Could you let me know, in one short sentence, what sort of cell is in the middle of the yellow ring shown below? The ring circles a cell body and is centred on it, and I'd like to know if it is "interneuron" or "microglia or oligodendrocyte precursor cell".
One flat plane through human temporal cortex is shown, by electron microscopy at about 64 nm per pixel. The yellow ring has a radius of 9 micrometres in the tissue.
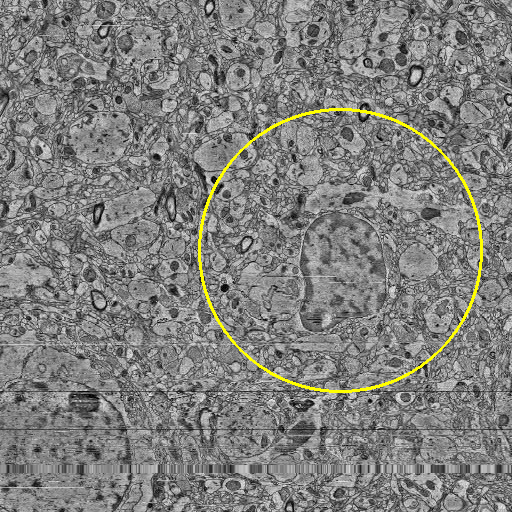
The ring circles the cell body of a microglial cell or oligodendrocyte precursor cell.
